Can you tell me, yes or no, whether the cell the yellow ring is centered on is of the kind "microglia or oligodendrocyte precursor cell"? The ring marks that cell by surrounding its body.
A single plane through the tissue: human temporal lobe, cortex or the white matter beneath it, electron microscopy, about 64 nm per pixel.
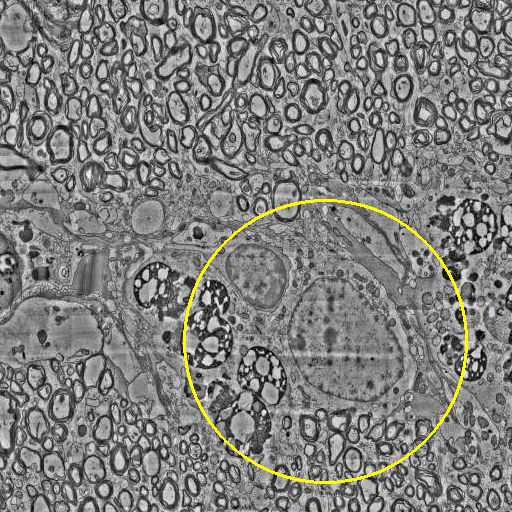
no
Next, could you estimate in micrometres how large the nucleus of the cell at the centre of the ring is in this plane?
About 8 by 7 micrometres in this plane.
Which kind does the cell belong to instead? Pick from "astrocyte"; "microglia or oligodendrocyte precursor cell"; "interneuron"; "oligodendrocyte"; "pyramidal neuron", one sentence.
What the ring is centred on is an astrocyte.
